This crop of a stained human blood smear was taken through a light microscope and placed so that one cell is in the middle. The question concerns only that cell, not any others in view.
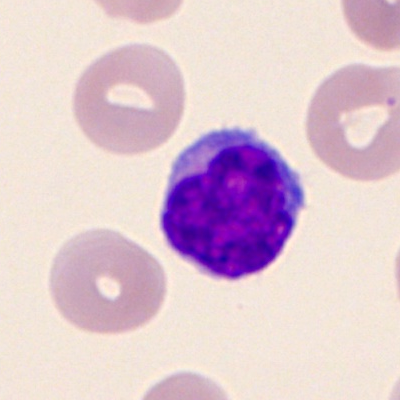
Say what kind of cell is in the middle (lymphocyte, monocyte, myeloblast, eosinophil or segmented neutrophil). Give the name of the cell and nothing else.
lymphocyte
